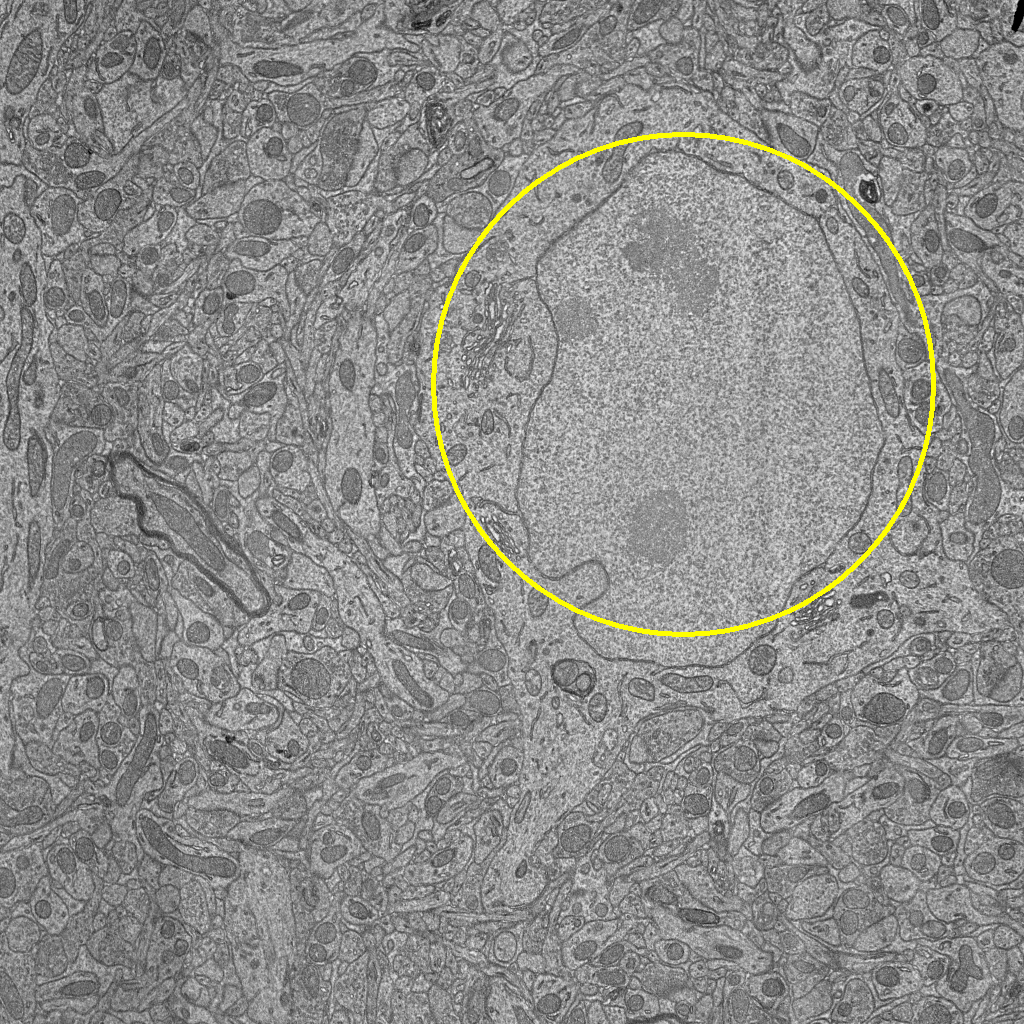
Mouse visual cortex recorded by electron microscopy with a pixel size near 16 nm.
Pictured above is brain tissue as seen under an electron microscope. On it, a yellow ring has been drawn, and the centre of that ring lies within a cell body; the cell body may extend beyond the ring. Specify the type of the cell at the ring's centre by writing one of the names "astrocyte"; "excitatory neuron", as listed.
excitatory neuron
